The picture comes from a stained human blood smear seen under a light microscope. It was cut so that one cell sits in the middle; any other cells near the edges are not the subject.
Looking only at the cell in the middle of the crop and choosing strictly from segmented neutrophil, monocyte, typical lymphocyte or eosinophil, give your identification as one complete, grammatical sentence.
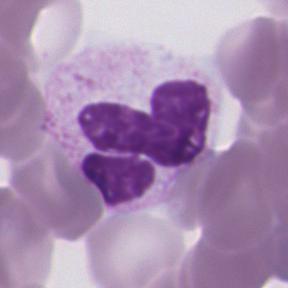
By type, the central cell of the crop is a segmented neutrophil.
